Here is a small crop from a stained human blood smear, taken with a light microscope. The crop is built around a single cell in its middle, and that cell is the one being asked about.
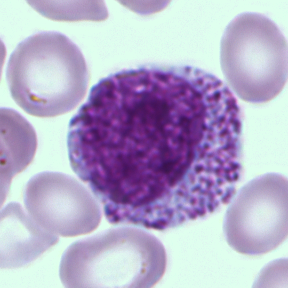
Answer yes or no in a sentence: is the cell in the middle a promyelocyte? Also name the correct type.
No, the cell sitting in the middle is a myelocyte, and it is not a promyelocyte.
